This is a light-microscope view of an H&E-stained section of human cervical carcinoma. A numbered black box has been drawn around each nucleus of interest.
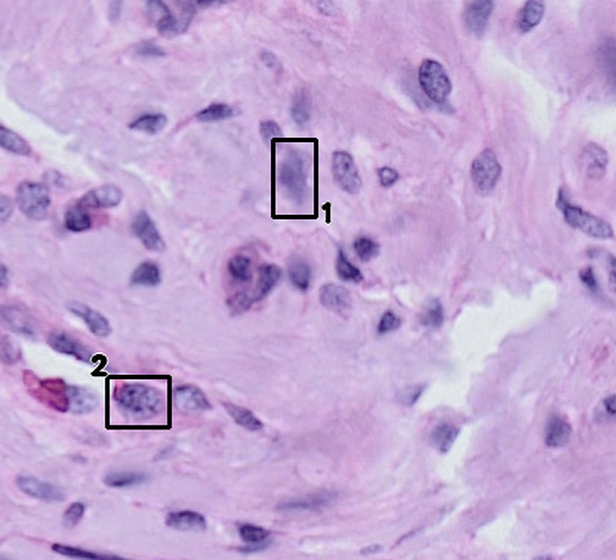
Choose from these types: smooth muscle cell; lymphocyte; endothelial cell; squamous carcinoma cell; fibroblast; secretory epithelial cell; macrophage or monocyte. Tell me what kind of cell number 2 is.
endothelial cell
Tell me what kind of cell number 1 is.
fibroblast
